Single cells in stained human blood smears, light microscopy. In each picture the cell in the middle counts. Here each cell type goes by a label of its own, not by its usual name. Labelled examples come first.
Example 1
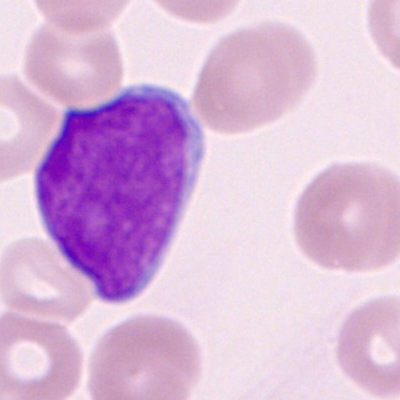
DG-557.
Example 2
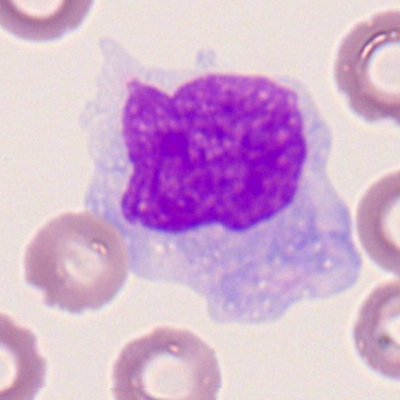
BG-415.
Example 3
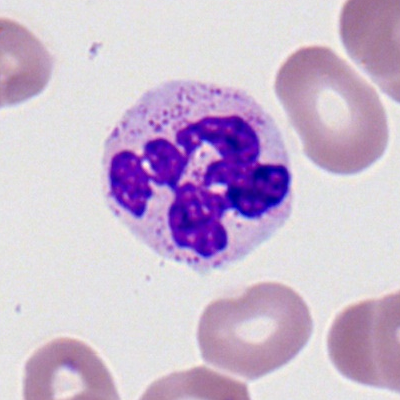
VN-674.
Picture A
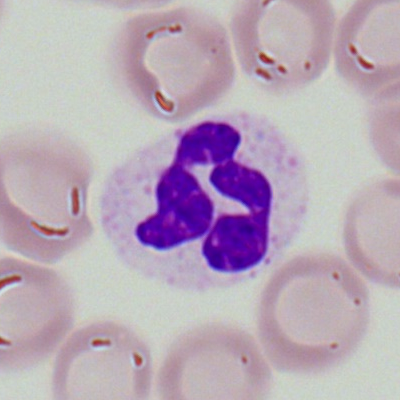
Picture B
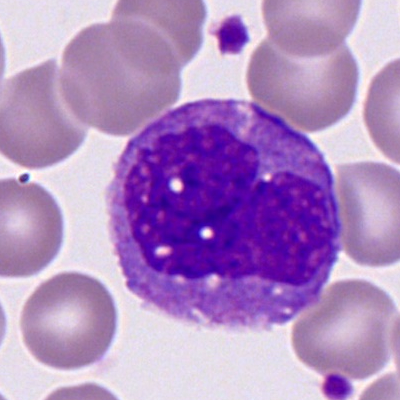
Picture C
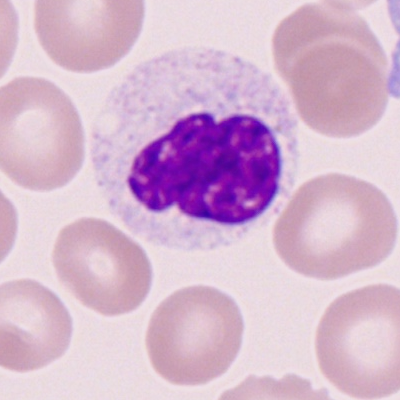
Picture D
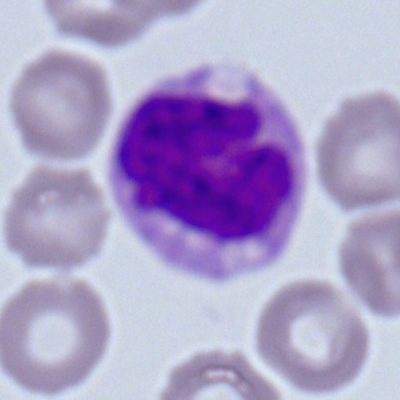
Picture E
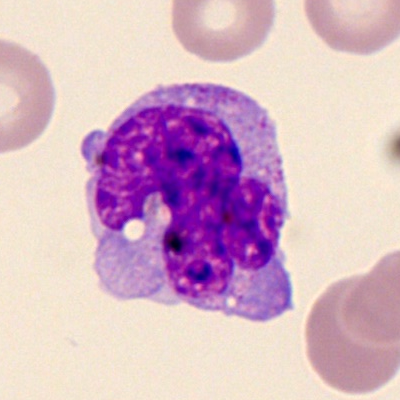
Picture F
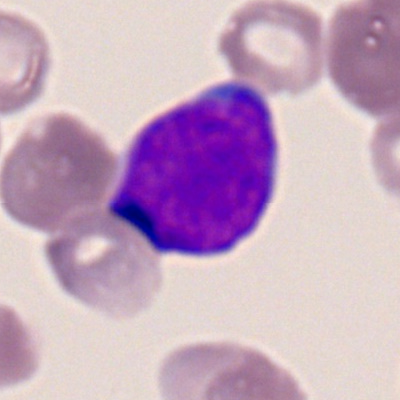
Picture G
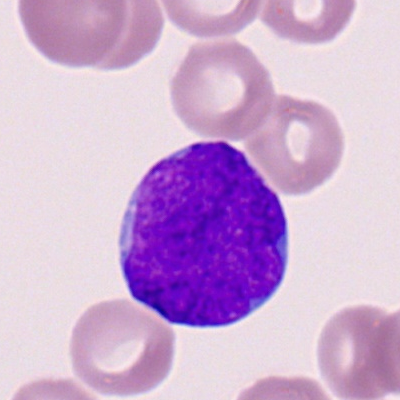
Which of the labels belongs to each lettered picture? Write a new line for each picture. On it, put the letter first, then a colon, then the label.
A: VN-674.
B: BG-415.
C: VN-674.
D: BG-415.
E: BG-415.
F: DG-557.
G: DG-557.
